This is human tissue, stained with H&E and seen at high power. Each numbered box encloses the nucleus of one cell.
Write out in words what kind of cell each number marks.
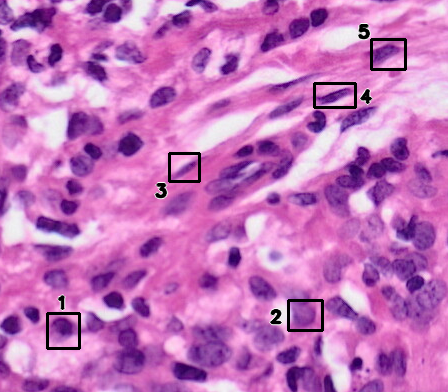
Cell 1 is a macrophage or monocyte. Cell 2 is a carcinoma cell. Cells 3, 4 and 5 are fibroblasts.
